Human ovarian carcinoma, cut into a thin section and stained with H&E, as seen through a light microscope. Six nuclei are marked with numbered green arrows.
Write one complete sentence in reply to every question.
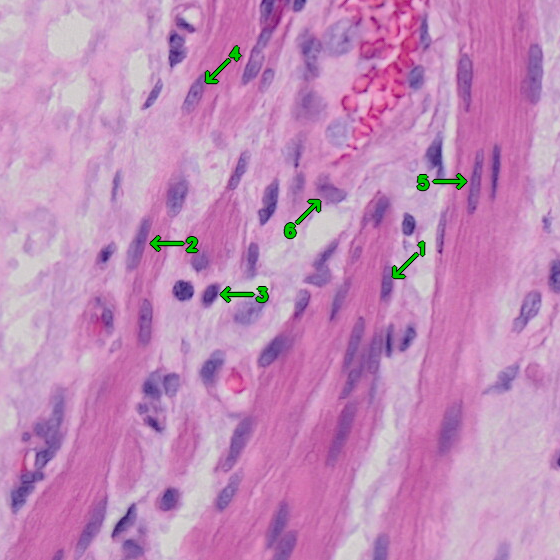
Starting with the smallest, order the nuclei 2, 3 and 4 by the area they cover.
Smallest first, the nuclei run 3, 4, 2.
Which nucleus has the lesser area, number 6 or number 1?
The smaller nucleus is 1, and 6 covers roughly 1.5 times its area.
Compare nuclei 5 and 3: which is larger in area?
Number 5 is larger; its area is about 2 times that of number 3.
